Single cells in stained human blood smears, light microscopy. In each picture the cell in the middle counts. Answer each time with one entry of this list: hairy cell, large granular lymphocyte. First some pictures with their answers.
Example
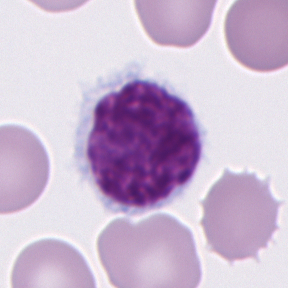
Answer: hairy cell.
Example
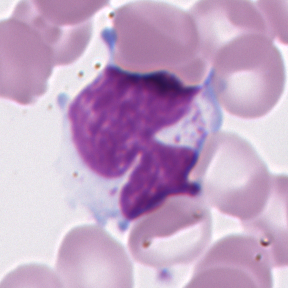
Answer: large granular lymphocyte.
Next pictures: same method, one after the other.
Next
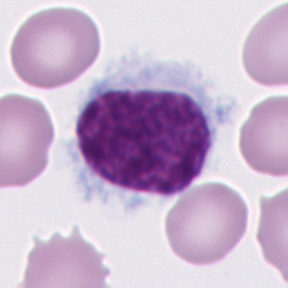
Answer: hairy cell.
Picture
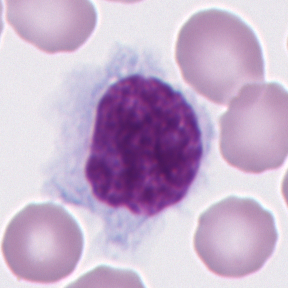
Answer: hairy cell.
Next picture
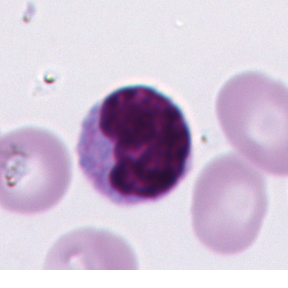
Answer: large granular lymphocyte.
